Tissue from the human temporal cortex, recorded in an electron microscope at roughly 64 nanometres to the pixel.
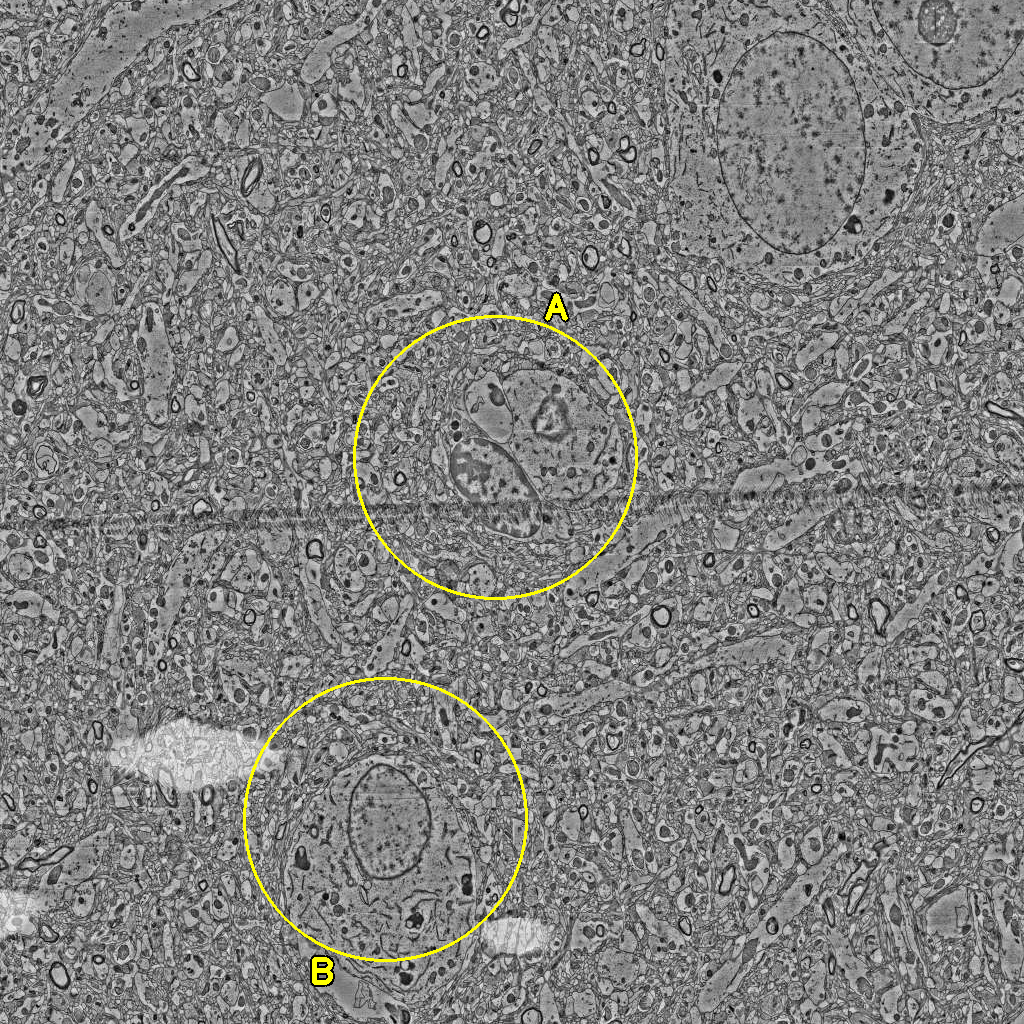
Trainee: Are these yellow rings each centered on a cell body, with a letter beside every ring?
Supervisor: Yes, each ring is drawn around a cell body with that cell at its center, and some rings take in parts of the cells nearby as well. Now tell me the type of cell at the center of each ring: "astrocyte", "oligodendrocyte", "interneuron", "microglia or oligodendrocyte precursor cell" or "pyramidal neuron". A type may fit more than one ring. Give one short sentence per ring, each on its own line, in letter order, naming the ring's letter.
Ring A has a microglial cell or oligodendrocyte precursor cell at its center.
Ring B has a pyramidal neuron at its center.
